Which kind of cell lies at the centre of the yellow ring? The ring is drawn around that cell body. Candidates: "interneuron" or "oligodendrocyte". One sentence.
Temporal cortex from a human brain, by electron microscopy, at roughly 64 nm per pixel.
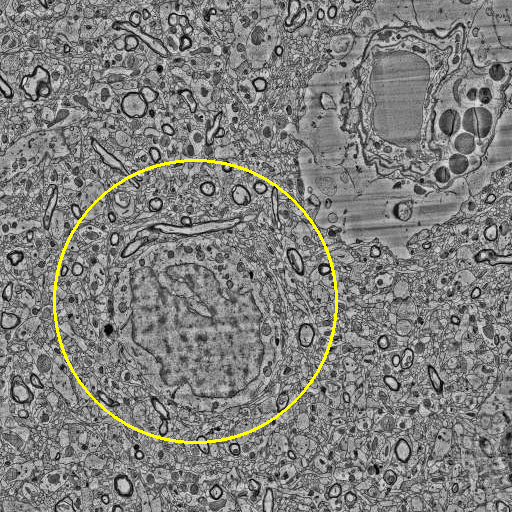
Lying at the centre of the ring is an interneuron.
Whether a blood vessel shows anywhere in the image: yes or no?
Yes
